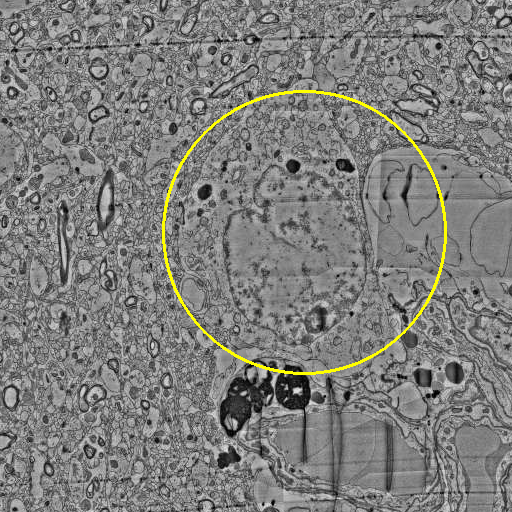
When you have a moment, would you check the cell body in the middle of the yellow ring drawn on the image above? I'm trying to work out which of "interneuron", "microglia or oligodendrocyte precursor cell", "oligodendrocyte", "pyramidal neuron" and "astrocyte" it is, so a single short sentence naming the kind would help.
This cell body belongs to an interneuron.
